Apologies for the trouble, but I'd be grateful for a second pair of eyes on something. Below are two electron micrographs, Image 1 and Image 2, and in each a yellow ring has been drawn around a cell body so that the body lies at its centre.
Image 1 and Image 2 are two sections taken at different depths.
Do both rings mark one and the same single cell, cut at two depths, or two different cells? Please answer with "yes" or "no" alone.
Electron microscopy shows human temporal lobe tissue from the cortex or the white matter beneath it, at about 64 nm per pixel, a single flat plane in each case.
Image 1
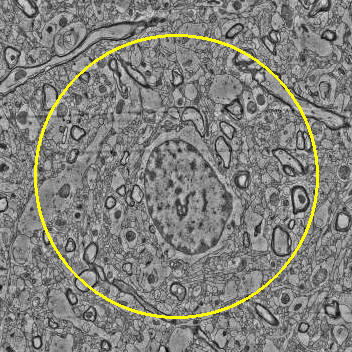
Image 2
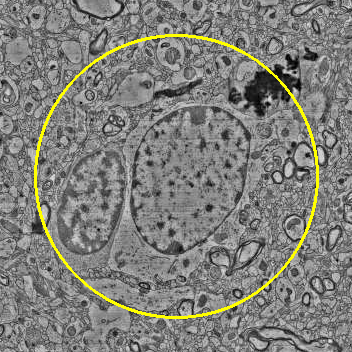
no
